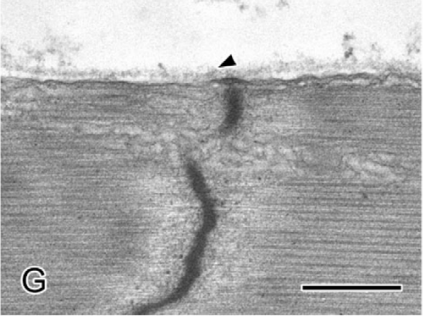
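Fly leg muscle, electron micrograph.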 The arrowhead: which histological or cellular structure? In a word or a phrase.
basement membrane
